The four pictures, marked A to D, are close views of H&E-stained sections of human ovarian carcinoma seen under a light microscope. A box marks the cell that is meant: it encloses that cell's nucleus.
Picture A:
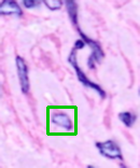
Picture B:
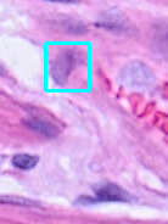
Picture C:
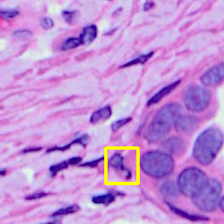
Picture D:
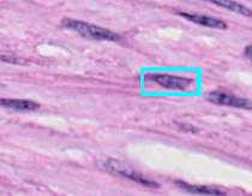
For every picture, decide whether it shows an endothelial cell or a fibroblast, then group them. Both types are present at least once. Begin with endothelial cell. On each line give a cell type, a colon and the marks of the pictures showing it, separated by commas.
endothelial cell: B
fibroblast: A, C, D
